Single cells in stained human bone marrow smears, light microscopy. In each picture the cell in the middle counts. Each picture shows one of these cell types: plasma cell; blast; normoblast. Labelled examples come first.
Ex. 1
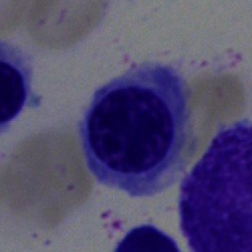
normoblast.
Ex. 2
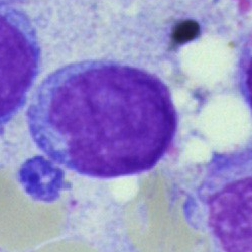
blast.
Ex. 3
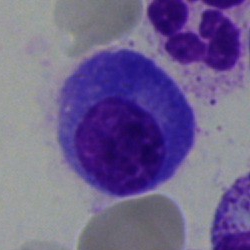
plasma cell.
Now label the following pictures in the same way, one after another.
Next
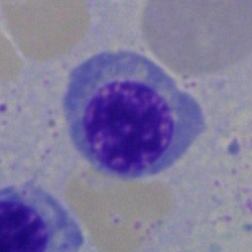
normoblast.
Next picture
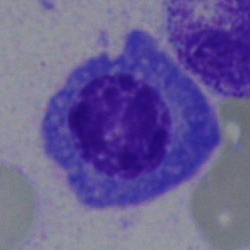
plasma cell.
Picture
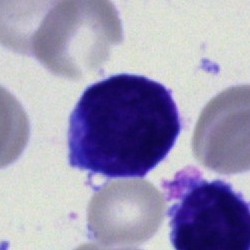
blast.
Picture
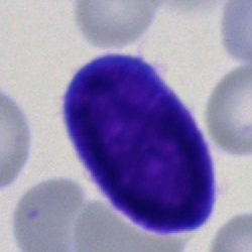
blast.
